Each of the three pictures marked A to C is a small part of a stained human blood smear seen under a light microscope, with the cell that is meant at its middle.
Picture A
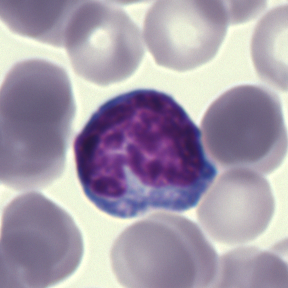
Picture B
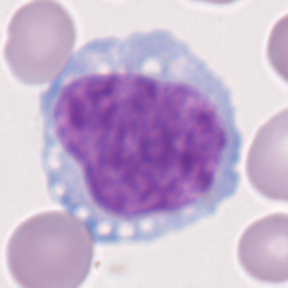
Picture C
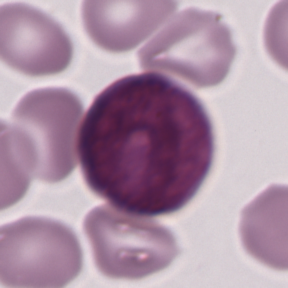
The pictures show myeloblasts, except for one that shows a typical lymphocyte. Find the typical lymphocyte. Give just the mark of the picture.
A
